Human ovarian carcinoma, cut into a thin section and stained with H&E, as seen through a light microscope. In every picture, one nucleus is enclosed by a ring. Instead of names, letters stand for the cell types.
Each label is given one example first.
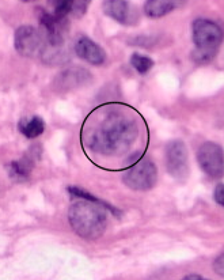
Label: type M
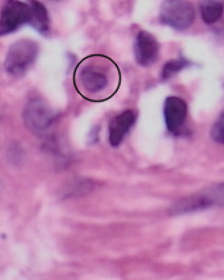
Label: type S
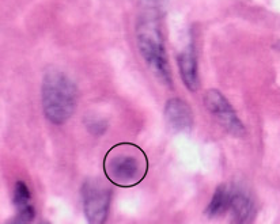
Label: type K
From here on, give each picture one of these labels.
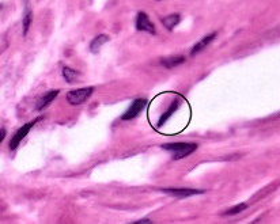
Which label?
type K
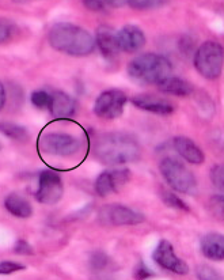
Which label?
type M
